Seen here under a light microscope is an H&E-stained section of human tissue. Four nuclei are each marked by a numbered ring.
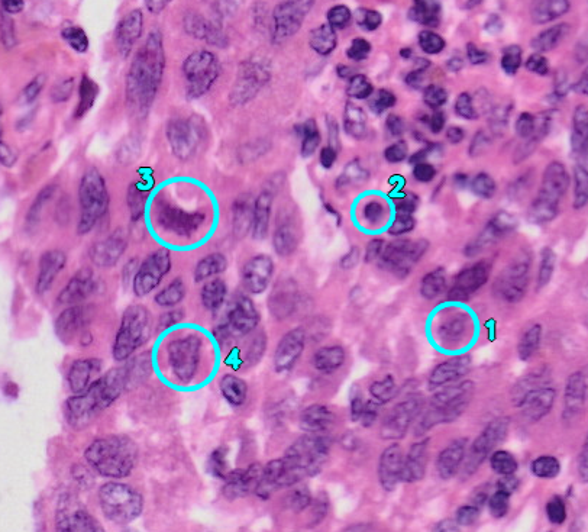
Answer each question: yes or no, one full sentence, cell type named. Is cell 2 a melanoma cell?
No, number 2 does not mark a melanoma cell; it marks a lymphocyte.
